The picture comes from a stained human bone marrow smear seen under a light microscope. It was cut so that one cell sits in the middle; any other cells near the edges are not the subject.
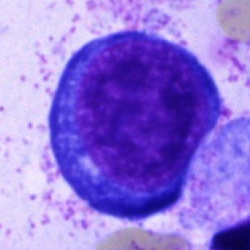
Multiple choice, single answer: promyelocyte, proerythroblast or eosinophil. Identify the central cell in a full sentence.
This crop has a proerythroblast at its centre.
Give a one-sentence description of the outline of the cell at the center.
Around its whole circumference the outline stays smooth, free of projections.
